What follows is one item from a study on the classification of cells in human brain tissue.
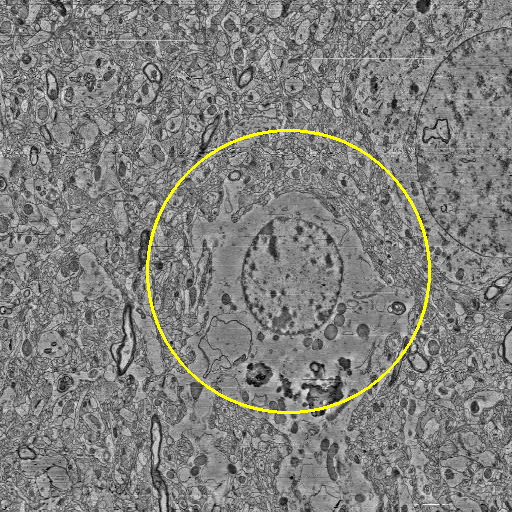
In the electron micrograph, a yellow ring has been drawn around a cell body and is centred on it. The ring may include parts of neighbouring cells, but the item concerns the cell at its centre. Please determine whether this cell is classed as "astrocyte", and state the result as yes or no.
yes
